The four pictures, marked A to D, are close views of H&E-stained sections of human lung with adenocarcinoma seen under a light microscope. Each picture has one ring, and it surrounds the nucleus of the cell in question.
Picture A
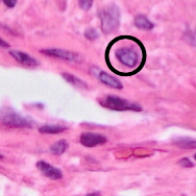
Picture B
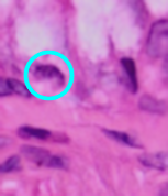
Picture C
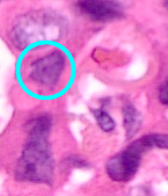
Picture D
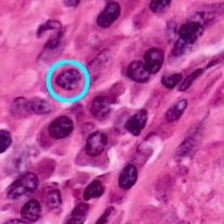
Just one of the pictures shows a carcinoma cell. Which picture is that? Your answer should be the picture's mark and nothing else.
C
